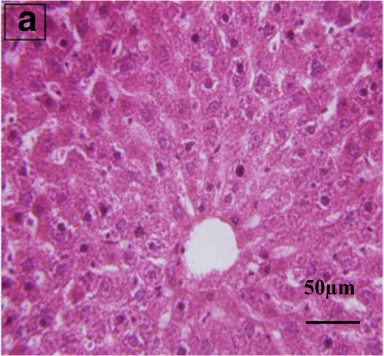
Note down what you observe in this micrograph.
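This is liver tissue with hepatocytes arranged in cords that radiate outward from a central vein, seen as the round clear space in the middle. The hepatocytes are polygonal with pink granular cytoplasm and round, centrally placed purple nuclei; a few cells appear to carry two nuclei. Narrow sinusoids separate the cords, and small flattened nuclei lining them likely belong to sinusoidal lining cells. The lobular architecture is orderly, without clusters of small dark cells or pale, disrupted areas.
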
